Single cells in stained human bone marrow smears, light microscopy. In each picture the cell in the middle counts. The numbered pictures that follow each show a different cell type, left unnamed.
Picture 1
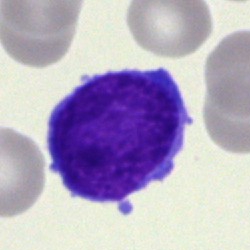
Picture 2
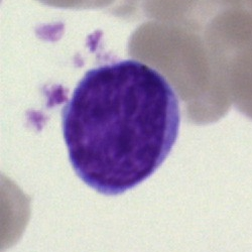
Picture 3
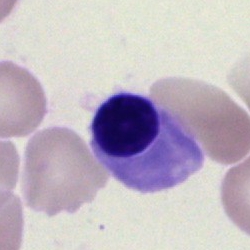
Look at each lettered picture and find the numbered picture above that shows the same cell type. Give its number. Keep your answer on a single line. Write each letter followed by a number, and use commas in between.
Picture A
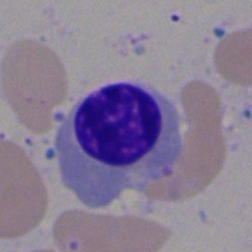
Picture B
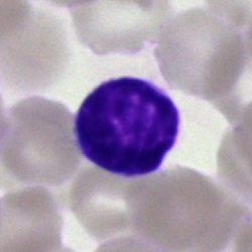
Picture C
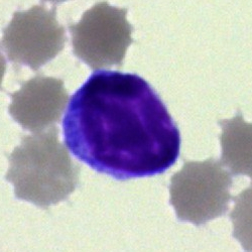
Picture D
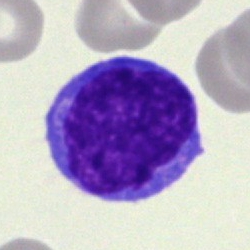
A 3, B 2, C 2, D 1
